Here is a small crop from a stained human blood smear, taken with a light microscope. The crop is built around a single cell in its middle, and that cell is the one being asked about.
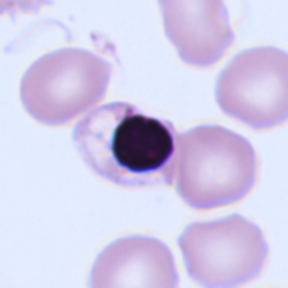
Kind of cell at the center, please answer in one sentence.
For this crop, the central cell is a normoblast.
